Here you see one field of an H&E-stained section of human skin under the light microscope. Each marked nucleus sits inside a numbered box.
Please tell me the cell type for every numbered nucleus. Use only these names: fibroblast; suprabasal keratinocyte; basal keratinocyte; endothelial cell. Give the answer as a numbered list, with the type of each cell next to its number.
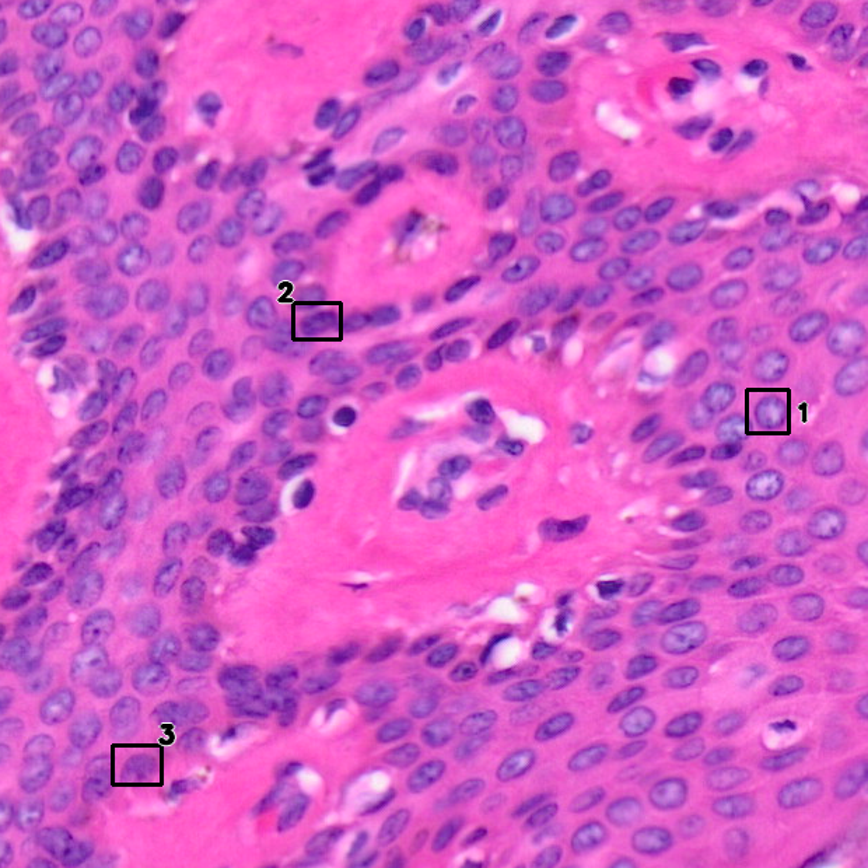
1. suprabasal keratinocyte
2. basal keratinocyte
3. basal keratinocyte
